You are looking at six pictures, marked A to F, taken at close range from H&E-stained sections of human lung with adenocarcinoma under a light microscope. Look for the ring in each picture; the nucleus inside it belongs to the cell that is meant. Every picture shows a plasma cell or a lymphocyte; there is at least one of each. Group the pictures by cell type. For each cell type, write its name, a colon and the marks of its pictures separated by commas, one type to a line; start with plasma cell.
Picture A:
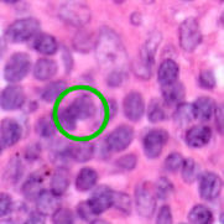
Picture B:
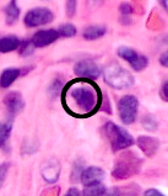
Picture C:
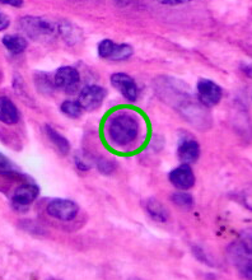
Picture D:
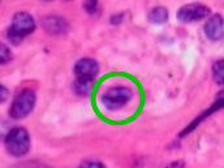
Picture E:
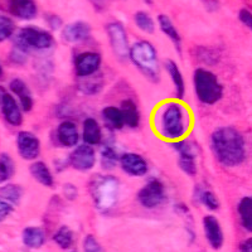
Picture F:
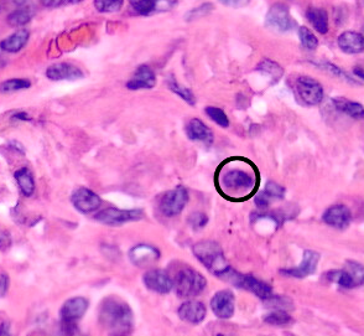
plasma cell: B, C, F
lymphocyte: A, D, E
